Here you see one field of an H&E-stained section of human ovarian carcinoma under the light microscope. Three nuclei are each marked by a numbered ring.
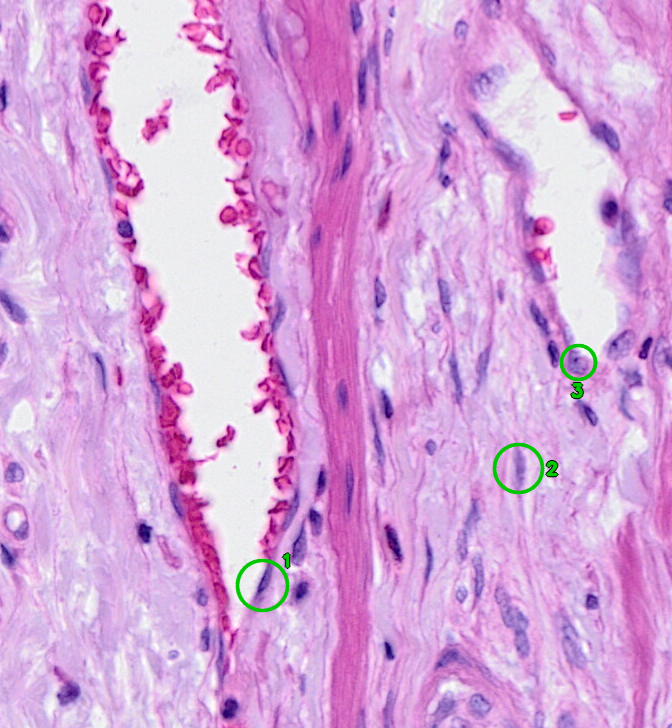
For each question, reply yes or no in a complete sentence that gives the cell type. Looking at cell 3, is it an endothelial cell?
Yes, the numbered cell 3 is an endothelial cell.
